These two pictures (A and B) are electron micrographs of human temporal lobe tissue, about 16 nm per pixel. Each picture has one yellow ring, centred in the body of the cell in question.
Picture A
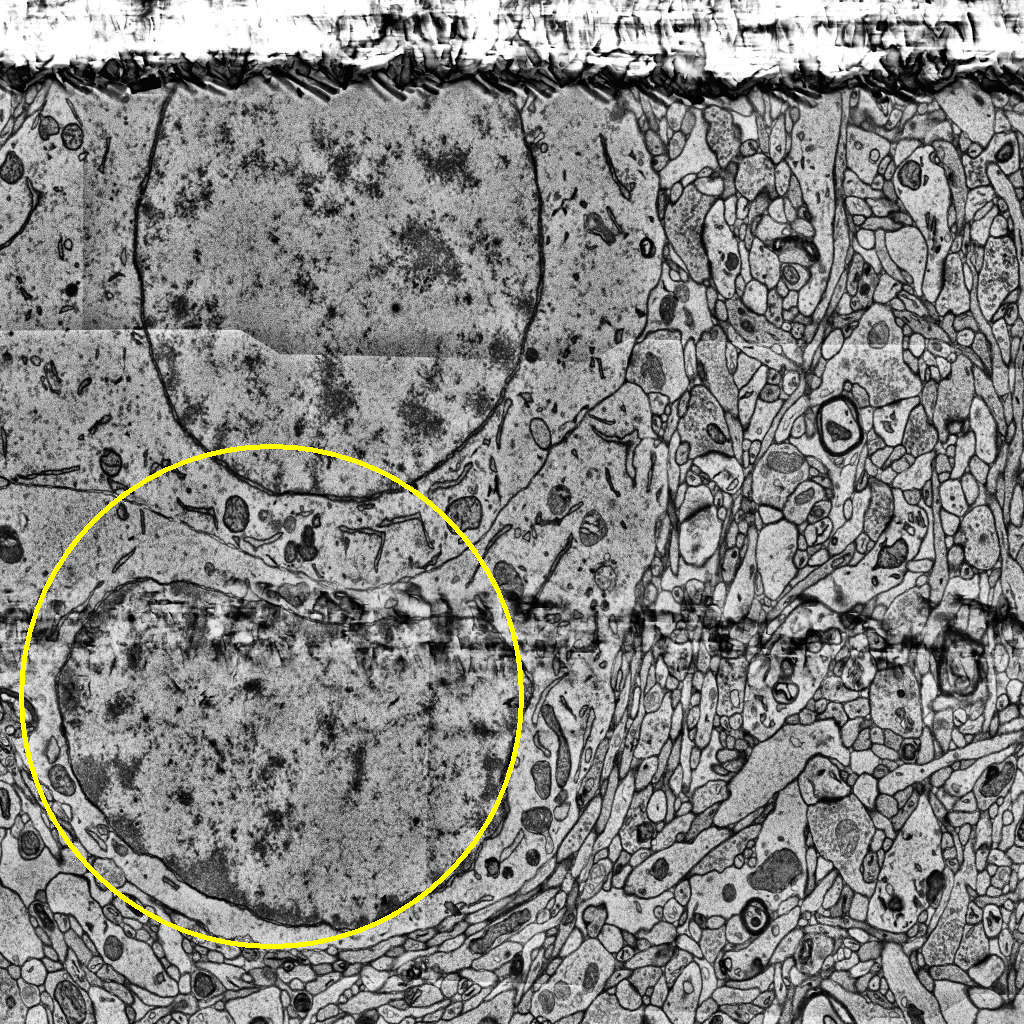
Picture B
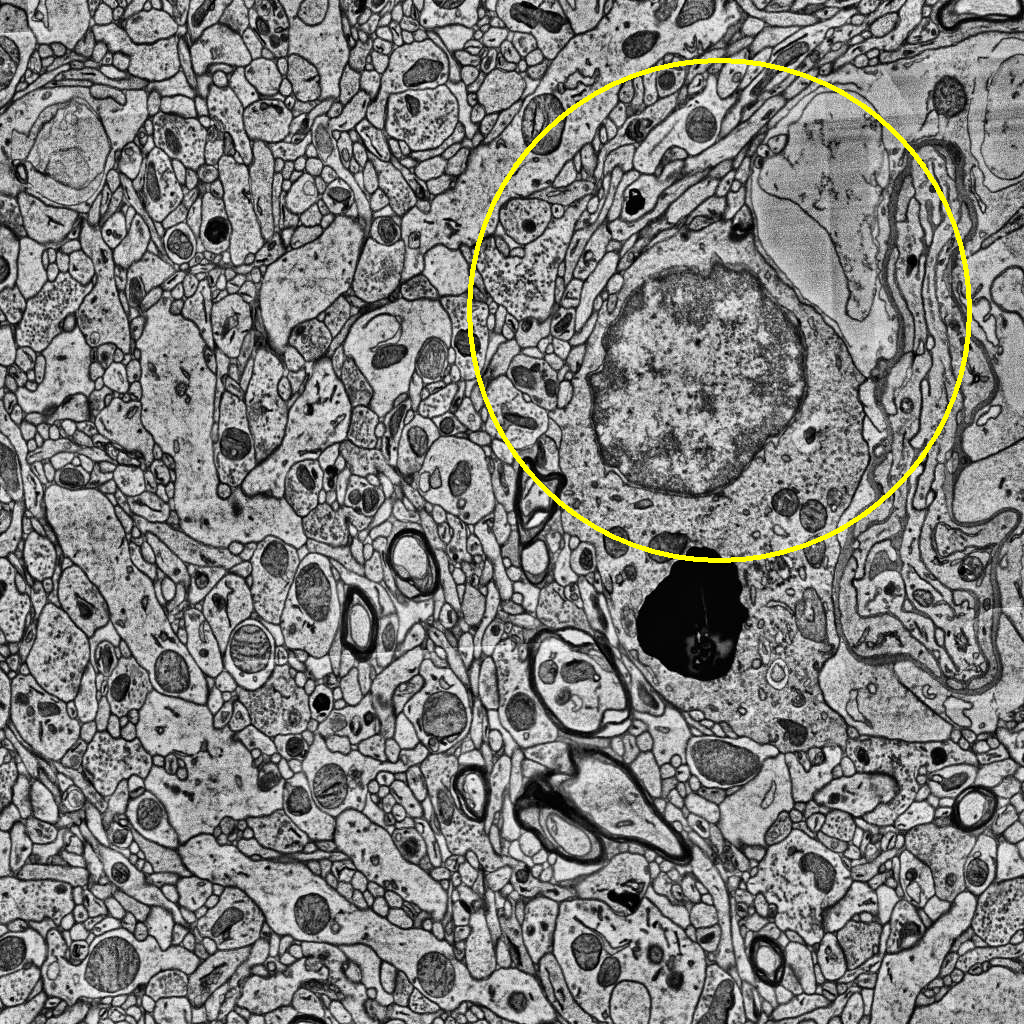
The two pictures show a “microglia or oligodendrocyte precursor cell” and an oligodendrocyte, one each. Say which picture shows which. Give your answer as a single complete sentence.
It is picture A that shows a “microglia or oligodendrocyte precursor cell”, and picture B that shows an oligodendrocyte.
